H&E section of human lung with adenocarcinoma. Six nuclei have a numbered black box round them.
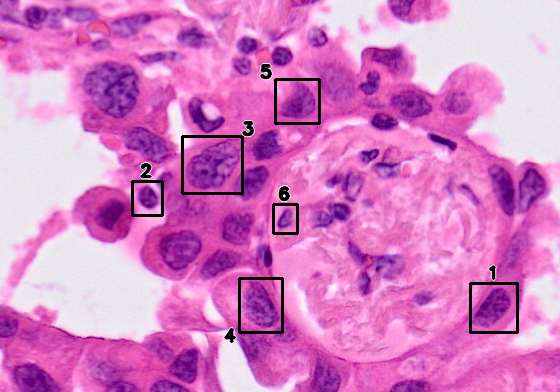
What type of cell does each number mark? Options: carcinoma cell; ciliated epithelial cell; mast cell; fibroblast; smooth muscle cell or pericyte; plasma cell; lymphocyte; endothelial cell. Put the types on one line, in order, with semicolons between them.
carcinoma cell; lymphocyte; carcinoma cell; carcinoma cell; carcinoma cell; lymphocyte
